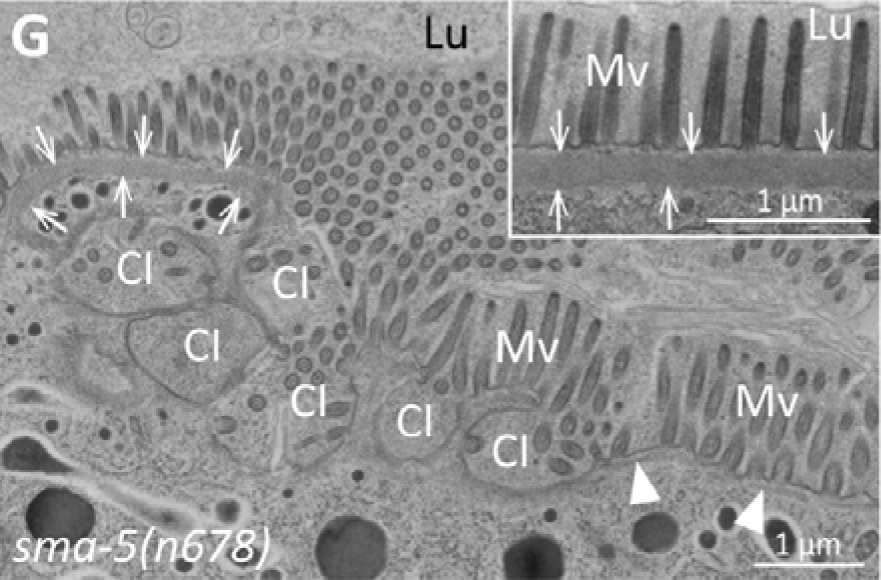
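This intestinal cell apex is disordered: microvilli are cut at many angles, some in cross-section as clusters of small circles, and the surface folds into several rounded cytoplasmic invaginations of different sizes. Beneath other parts of the surface this band is thin or missing.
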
